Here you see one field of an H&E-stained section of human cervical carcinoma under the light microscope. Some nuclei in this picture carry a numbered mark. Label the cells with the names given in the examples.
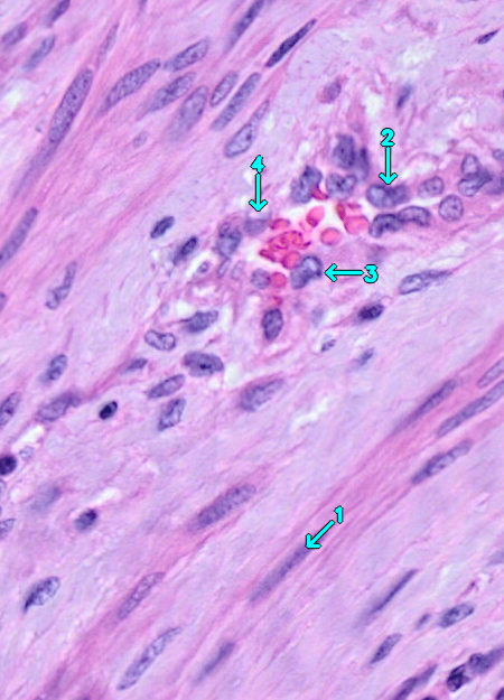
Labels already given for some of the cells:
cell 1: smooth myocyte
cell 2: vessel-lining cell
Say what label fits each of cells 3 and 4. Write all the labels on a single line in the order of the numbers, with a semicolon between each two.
vessel-lining cell; vessel-lining cell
